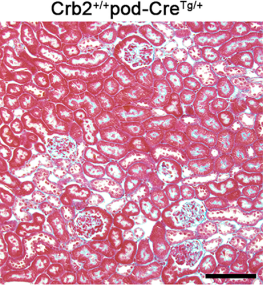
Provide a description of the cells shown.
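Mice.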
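This is a section of kidney tissue made up of closely packed, red-stained tubules, with a few round glomeruli among them. The tubules are cut in cross and oblique section and lie tightly side by side. Only thin blue lines outline the tubules, with little tissue between them. Small dark nuclei line the tubule walls.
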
